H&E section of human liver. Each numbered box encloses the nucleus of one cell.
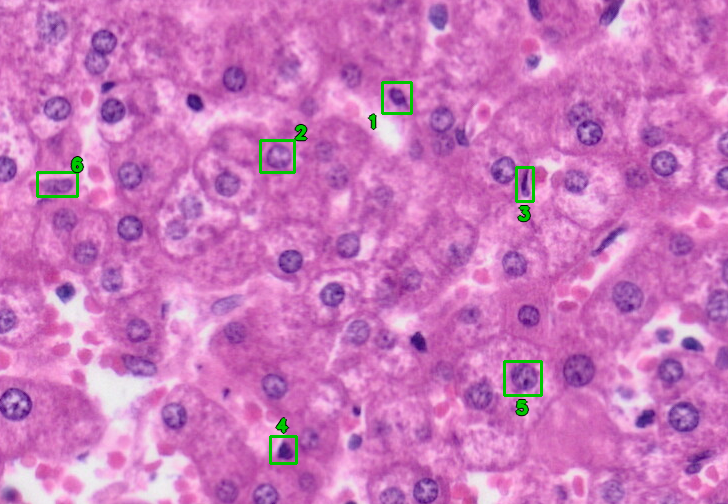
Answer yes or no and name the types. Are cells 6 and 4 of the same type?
No; cell 6 is a Kupffer cell, whereas cell 4 is a fibroblast or stellate cell.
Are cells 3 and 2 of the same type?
No, the cell tagged 3 is an endothelial cell, whereas the cell tagged 2 is a hepatocyte.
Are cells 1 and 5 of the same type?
No, cell 1 is recognized as a fibroblast or stellate cell, and cell 5 as a hepatocyte.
